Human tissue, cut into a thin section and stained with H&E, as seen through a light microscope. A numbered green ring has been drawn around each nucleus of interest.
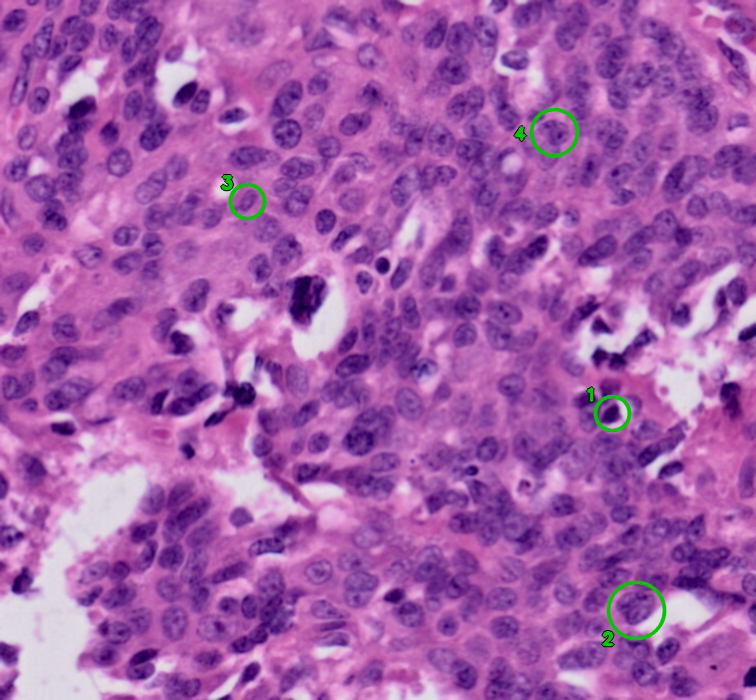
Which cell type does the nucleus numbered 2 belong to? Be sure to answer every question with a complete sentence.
Here, the cell given the number 2 is a carcinoma cell.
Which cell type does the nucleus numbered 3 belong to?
The cell numbered 3 has been identified as a carcinoma cell.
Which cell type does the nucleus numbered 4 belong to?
In this section, number 4 marks a macrophage or monocyte.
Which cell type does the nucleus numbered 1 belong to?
The cell that is numbered 1 is a carcinoma cell.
